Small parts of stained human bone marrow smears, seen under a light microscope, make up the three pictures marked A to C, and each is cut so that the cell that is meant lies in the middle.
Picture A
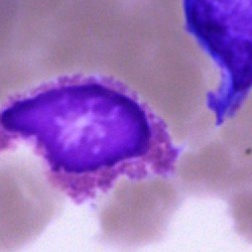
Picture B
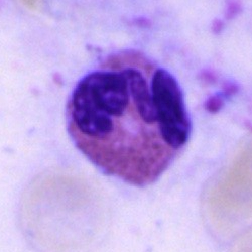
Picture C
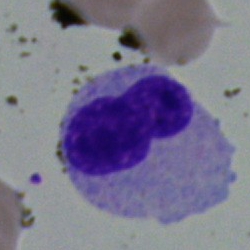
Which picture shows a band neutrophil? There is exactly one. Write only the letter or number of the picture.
C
